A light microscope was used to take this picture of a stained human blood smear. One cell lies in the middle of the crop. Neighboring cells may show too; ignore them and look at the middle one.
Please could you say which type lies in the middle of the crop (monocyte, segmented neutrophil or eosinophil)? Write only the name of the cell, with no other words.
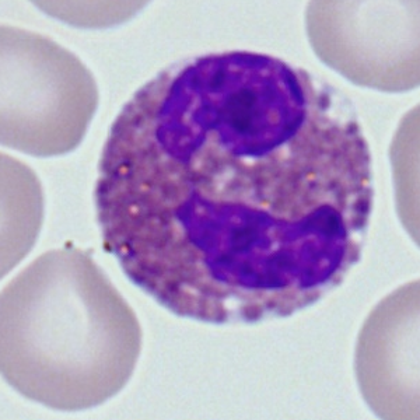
eosinophil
